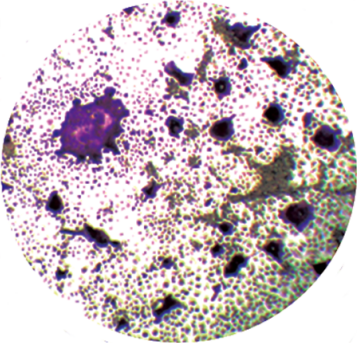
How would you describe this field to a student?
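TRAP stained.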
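Dense culture of macrophage-like cells with osteoclasts among them. Most of the field is packed with small, round, faintly stained cells. A large, spread, purple-stained cell stands out at the upper left. Many smaller, darkly stained, irregular cells are scattered through the field.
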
